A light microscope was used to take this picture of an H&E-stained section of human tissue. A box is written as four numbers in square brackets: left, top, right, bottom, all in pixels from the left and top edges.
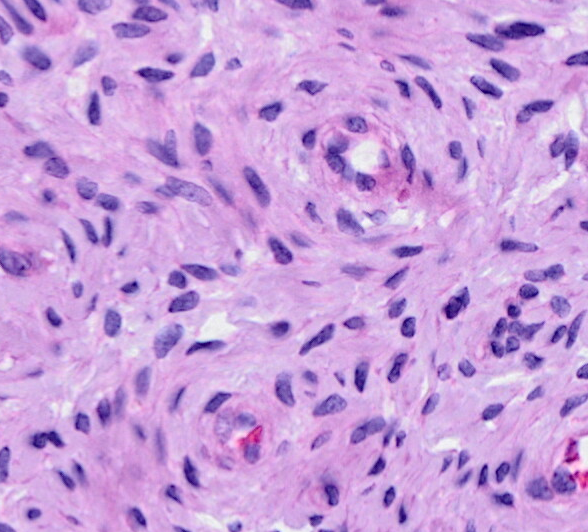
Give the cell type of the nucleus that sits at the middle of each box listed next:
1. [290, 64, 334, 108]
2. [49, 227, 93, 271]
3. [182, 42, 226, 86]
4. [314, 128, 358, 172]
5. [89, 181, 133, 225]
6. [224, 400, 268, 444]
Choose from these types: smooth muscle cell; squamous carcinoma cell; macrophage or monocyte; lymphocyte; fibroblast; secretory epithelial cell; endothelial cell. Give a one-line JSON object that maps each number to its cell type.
{"1": "fibroblast", "2": "fibroblast", "3": "fibroblast", "4": "endothelial cell", "5": "fibroblast", "6": "endothelial cell"}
